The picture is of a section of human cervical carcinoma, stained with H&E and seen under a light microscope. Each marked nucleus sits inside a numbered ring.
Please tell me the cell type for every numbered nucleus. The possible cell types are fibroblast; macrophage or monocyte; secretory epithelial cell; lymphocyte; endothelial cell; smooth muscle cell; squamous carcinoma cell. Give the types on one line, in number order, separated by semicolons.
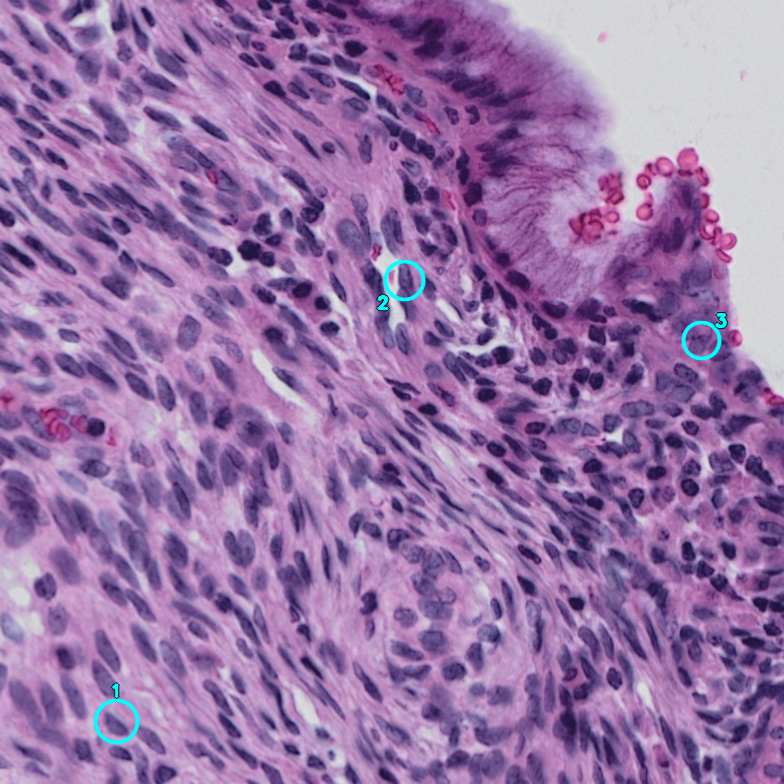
fibroblast; endothelial cell; secretory epithelial cell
